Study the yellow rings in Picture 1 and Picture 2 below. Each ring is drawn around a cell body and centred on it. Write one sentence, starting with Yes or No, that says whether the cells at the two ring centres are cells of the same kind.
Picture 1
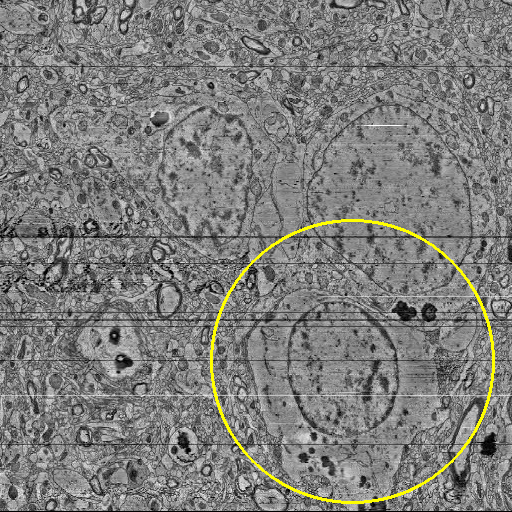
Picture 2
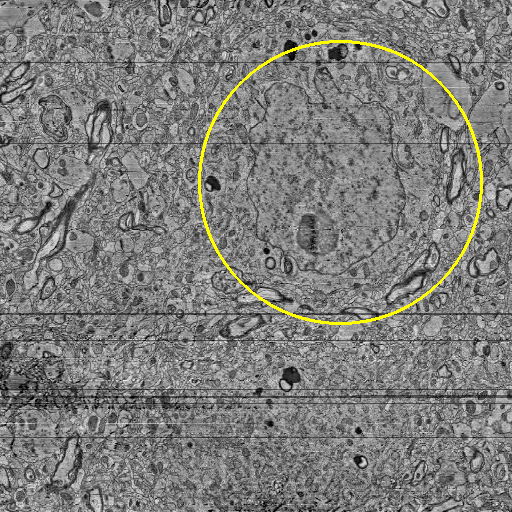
No, the cells at the ring centres are of two kinds.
